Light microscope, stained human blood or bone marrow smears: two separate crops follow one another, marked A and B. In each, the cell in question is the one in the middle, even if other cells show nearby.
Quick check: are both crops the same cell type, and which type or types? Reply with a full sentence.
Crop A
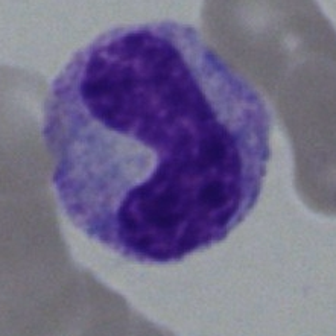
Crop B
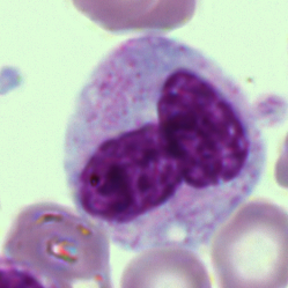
Yes, the middle cells in the two crops are band neutrophils.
